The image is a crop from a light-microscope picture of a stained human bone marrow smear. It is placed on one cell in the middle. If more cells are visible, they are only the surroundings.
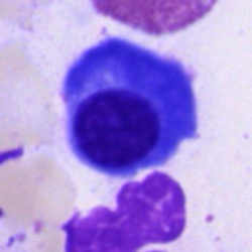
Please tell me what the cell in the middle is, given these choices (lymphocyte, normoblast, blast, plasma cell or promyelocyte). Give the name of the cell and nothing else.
plasma cell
